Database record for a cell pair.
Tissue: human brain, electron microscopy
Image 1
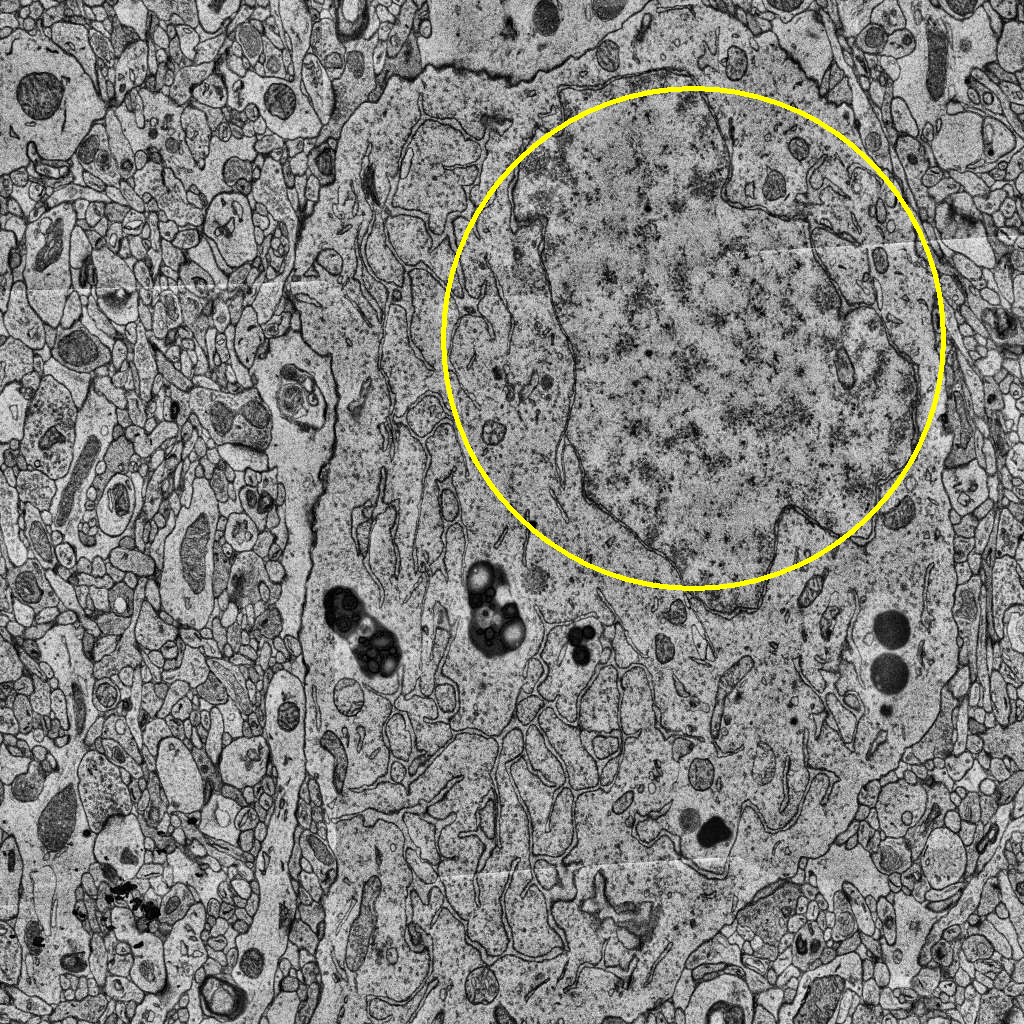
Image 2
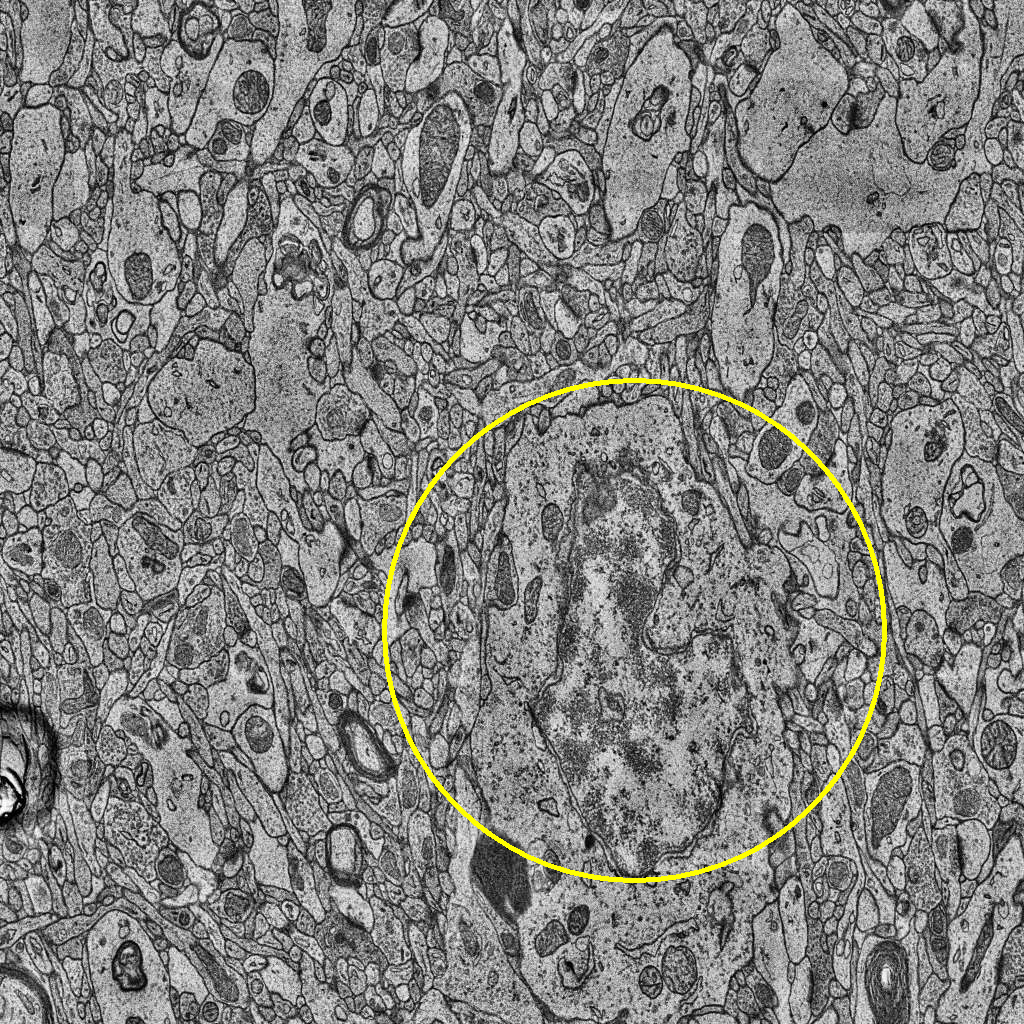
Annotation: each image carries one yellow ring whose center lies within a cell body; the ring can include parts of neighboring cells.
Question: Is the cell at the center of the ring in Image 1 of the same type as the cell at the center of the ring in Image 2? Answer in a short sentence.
Yes, the cells are of the same type.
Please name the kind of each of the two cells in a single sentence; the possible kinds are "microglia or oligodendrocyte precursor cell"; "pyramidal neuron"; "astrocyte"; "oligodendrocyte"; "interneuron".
Both cells are the same kind, each one being an interneuron.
